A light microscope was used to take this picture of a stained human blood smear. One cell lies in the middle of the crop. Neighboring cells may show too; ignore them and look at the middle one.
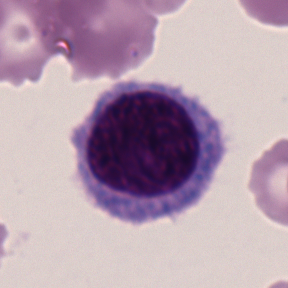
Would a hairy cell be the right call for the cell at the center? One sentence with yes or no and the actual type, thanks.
Yes, the cell sitting in the middle of this smear crop is a hairy cell.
